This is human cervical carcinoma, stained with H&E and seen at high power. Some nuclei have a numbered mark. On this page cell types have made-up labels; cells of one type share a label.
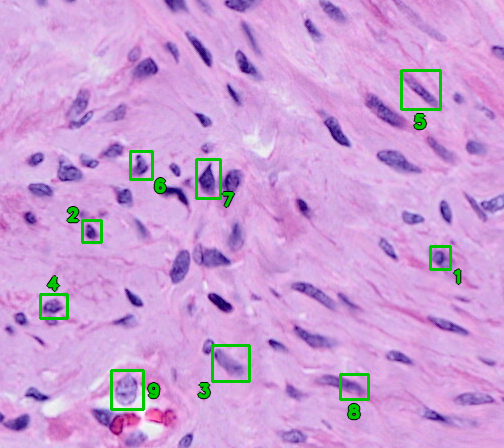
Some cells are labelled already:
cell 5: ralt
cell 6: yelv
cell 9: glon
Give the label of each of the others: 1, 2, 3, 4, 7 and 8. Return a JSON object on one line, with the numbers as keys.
{"1": "ralt", "2": "yelv", "3": "yelv", "4": "ralt", "7": "yelv", "8": "ralt"}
